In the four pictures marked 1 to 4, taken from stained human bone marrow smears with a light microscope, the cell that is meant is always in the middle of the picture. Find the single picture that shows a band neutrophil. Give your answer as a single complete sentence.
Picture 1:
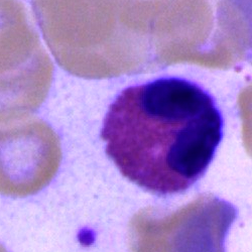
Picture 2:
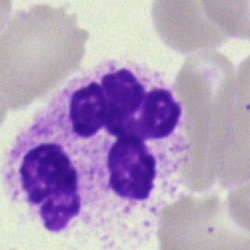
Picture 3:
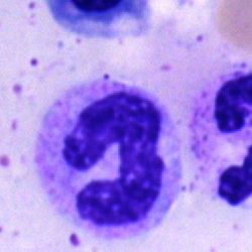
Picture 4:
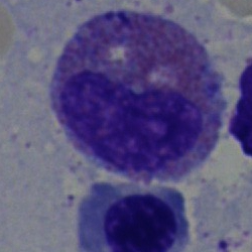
It is picture 3 that shows the band neutrophil.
